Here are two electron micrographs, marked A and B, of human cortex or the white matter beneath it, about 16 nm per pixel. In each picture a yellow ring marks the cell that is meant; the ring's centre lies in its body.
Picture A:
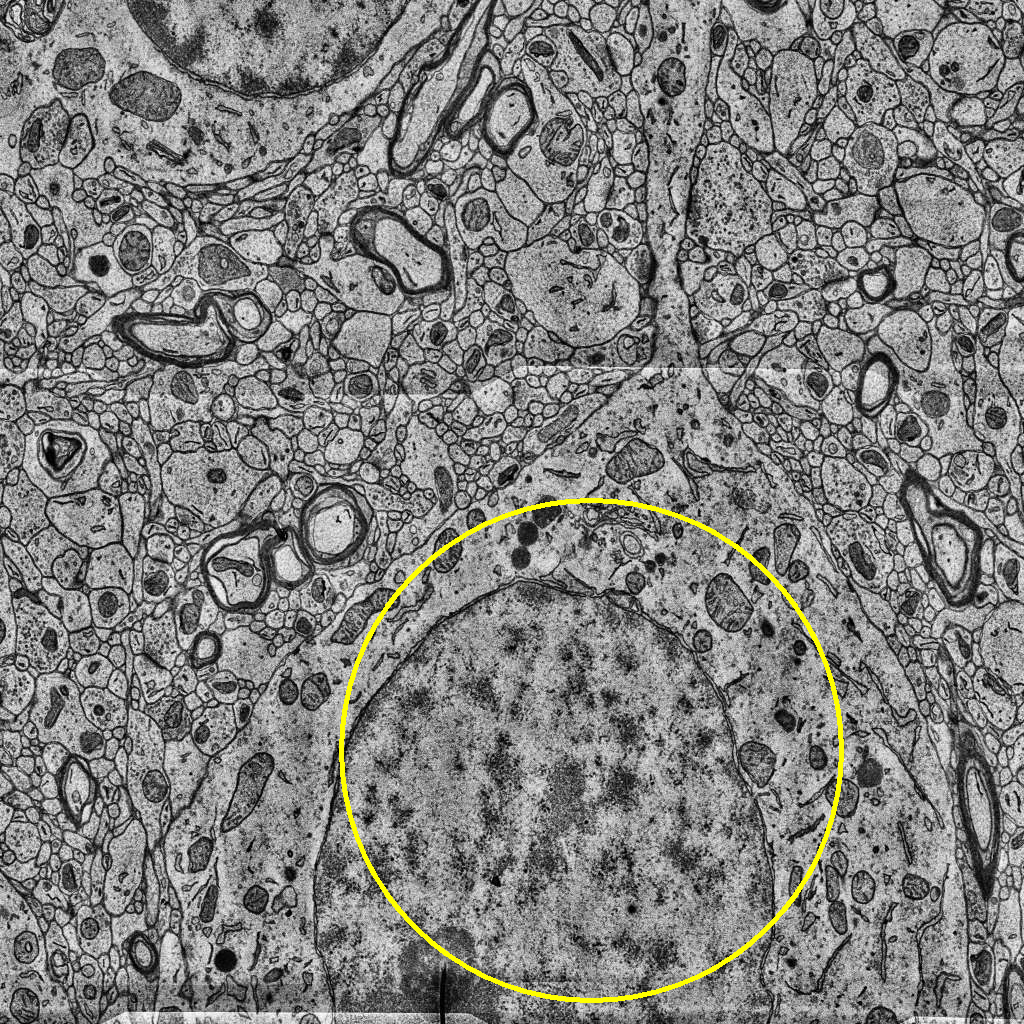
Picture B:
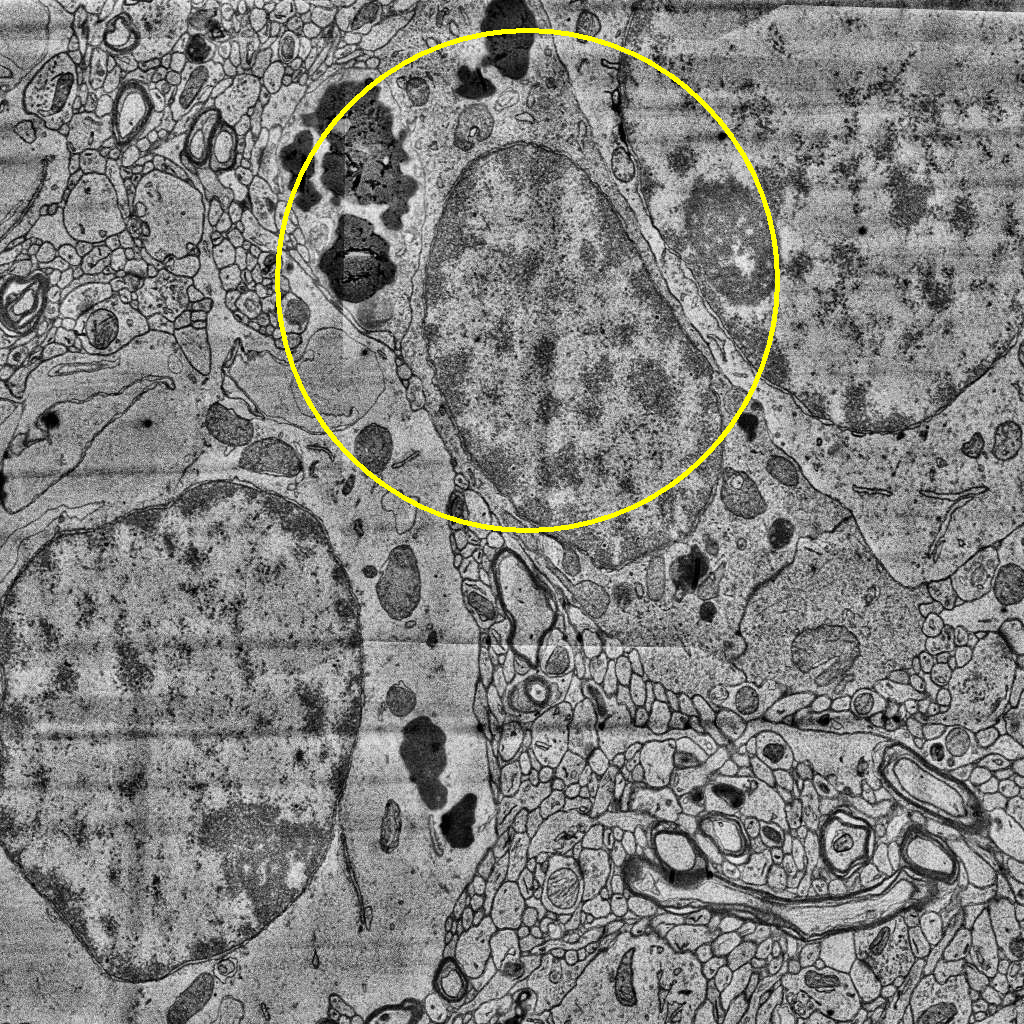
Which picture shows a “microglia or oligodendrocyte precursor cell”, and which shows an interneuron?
In picture A the cell is an interneuron; in picture B, a “microglia or oligodendrocyte precursor cell”.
